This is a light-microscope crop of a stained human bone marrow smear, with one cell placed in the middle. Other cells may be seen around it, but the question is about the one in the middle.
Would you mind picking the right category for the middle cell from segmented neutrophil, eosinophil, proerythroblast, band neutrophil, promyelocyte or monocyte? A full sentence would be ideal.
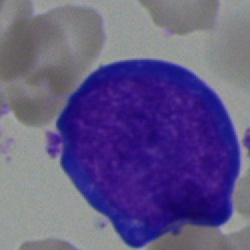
The cell of interest, located centrally, is a proerythroblast.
